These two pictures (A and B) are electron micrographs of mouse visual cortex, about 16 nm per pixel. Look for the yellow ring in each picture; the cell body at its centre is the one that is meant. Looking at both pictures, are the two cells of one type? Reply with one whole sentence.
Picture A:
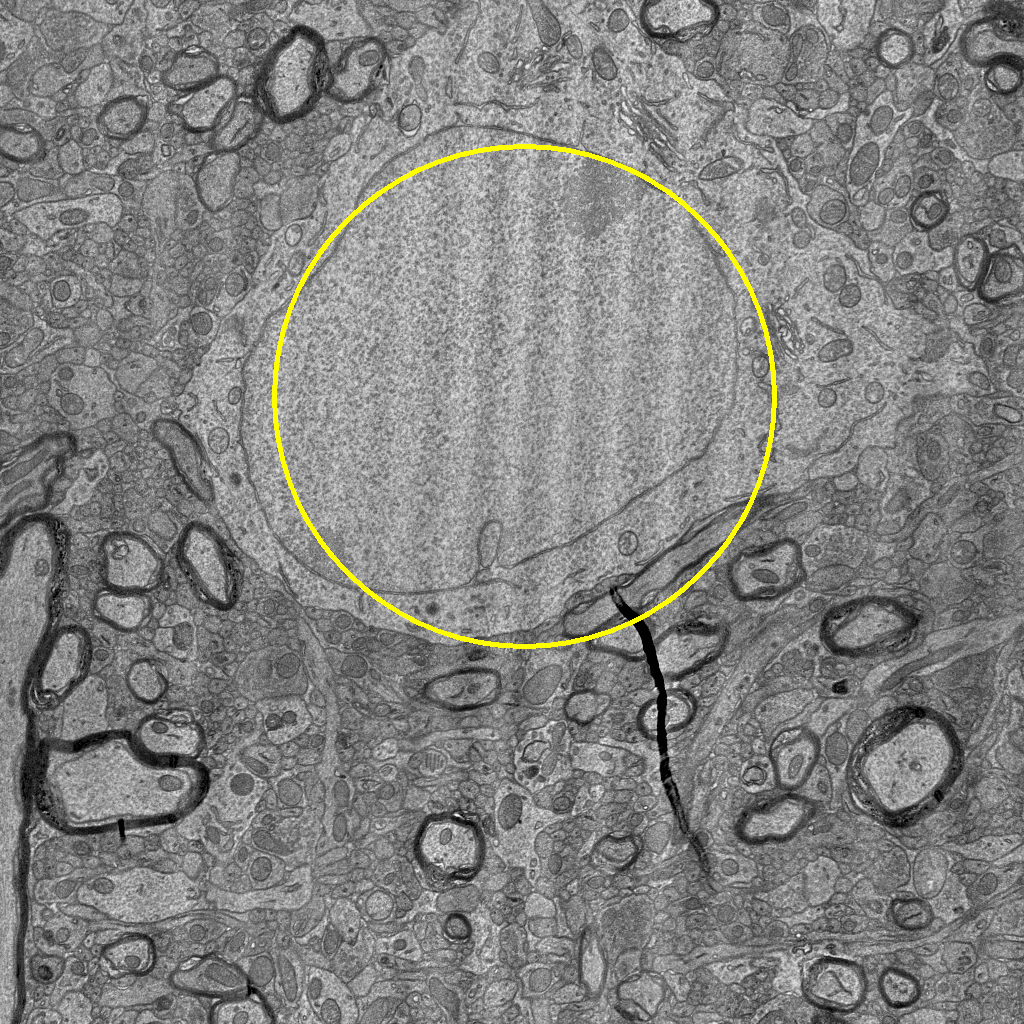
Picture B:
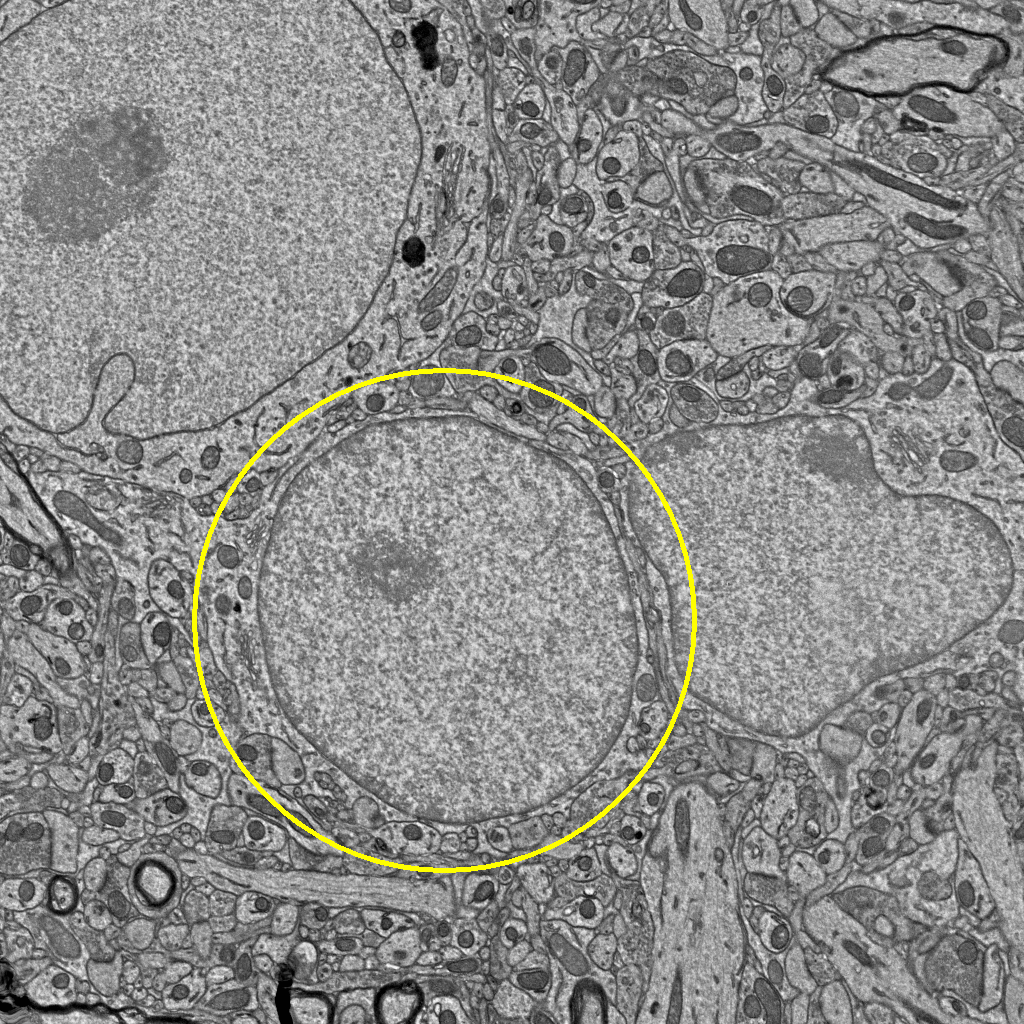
No. Picture A shows an excitatory neuron, but picture B shows an astrocyte.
